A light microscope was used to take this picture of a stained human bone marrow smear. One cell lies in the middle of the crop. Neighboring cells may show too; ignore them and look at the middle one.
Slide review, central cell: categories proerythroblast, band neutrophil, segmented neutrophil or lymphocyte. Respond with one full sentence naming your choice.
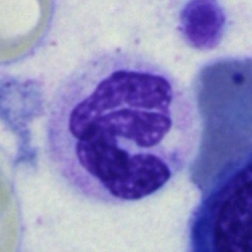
The target cell in the middle of the crop is a segmented neutrophil.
